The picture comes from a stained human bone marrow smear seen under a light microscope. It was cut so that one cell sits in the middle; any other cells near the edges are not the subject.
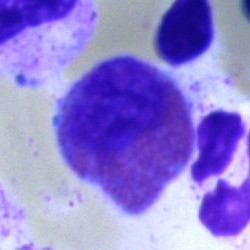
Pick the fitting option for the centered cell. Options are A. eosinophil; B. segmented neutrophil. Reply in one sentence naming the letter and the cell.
The centrally located cell is an eosinophil, making option A the correct choice.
